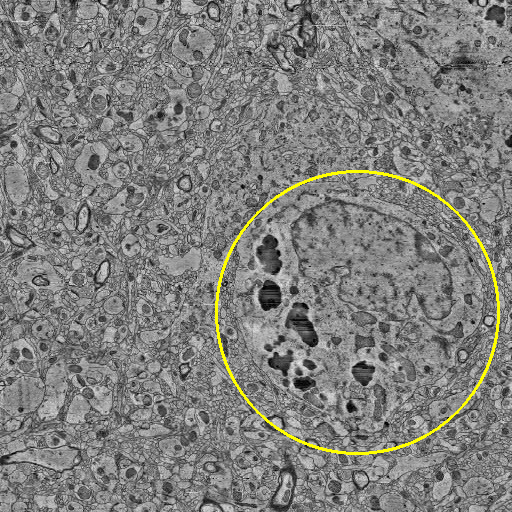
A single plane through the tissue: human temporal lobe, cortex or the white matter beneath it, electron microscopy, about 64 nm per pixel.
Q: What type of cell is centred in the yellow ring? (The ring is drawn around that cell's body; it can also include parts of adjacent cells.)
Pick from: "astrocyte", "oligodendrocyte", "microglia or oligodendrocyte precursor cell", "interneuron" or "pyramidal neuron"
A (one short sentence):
The yellow ring is centred on an interneuron.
